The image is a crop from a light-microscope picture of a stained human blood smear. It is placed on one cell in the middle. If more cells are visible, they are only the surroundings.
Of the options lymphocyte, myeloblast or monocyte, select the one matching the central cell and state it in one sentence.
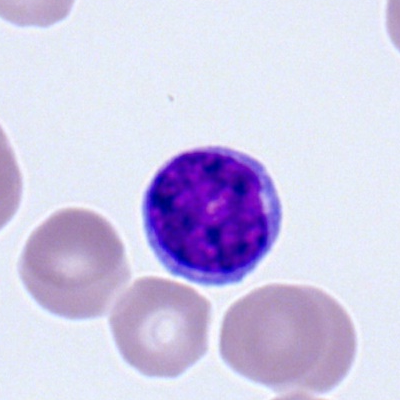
The crop shows a lymphocyte in its centre.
